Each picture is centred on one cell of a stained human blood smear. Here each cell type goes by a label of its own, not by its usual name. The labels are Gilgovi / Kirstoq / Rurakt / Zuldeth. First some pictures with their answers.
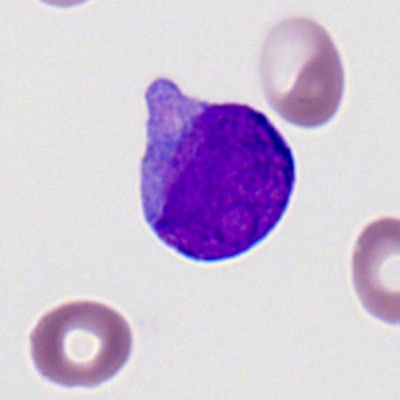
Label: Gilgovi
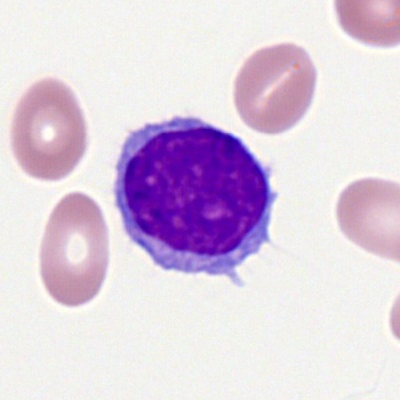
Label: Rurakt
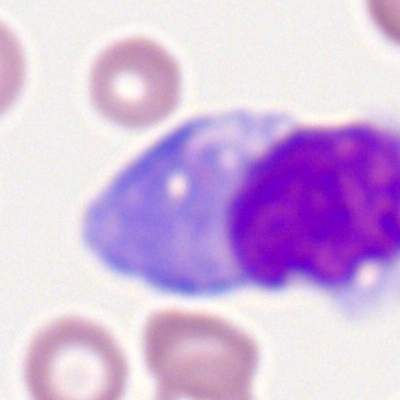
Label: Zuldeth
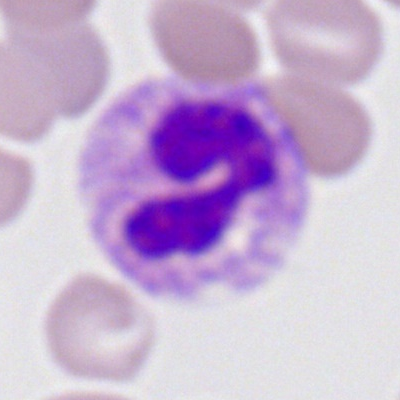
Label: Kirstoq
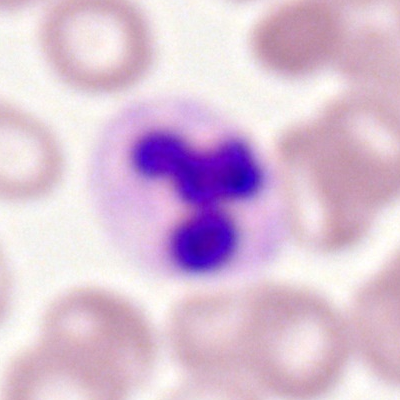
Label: Kirstoq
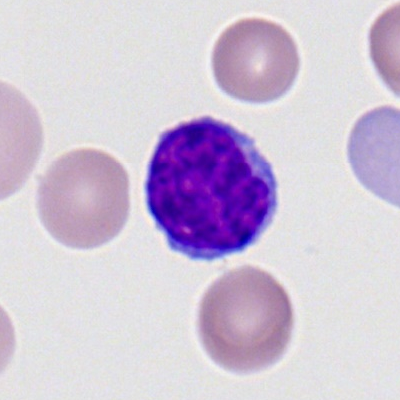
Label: Rurakt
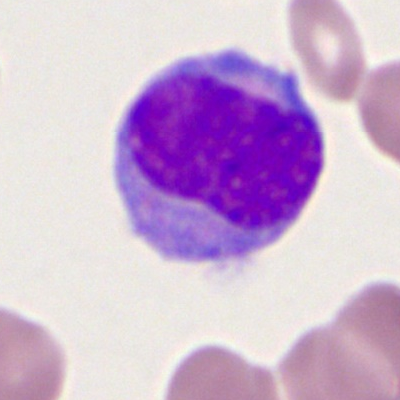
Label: Zuldeth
